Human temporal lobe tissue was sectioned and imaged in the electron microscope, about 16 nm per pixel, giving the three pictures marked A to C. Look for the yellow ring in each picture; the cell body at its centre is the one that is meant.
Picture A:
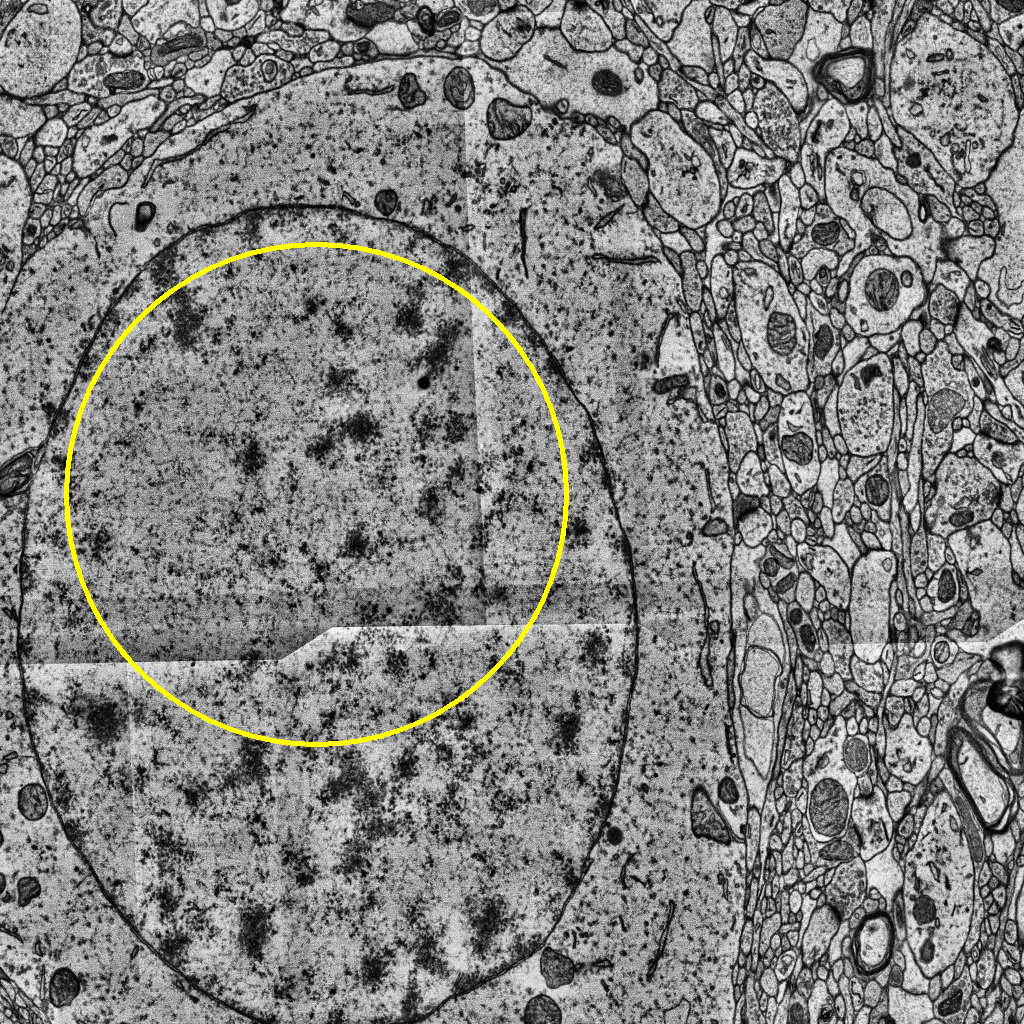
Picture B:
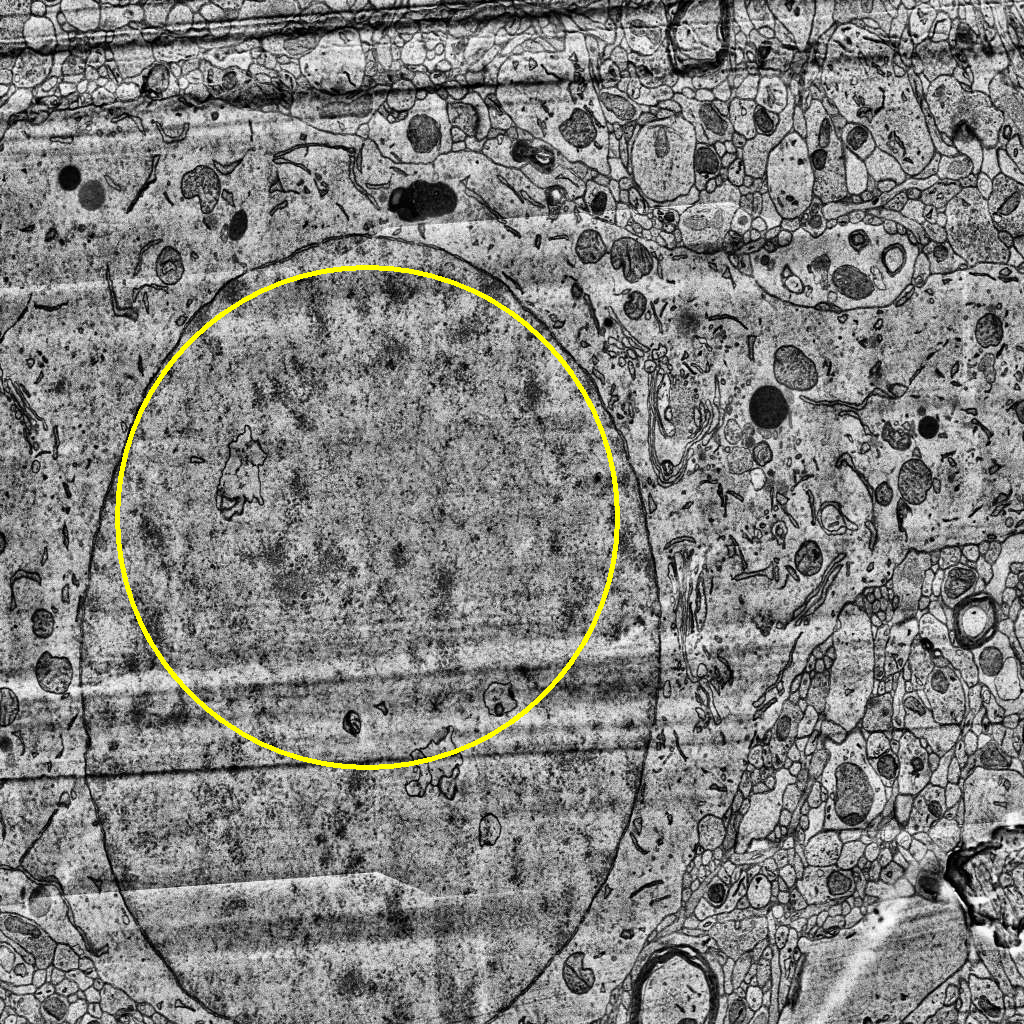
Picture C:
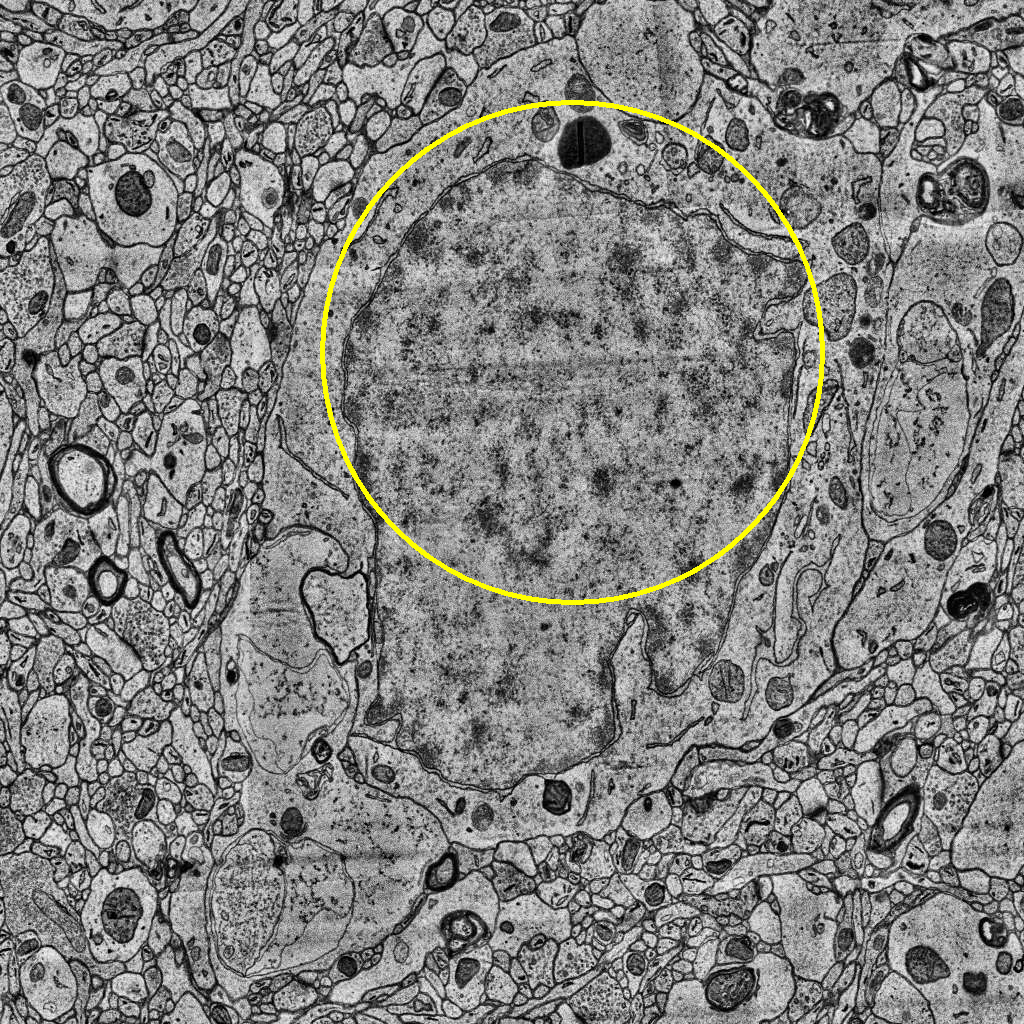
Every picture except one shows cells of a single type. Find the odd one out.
The different one is picture C; it shows an interneuron, whereas all the others show pyramidal neurons.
